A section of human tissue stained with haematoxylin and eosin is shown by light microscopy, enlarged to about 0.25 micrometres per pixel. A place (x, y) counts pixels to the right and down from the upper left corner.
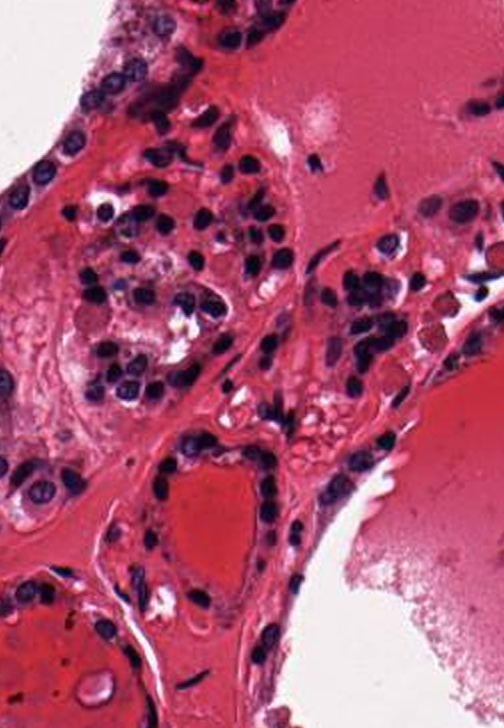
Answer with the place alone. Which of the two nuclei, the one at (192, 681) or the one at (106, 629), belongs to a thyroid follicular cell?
(106, 629)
